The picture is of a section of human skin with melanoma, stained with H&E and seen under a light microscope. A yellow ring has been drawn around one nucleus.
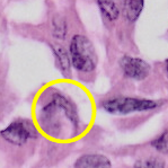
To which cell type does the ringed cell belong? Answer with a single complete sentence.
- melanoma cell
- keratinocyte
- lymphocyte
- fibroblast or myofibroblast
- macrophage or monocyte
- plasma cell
In the context of this tissue, the ringed cell is a melanoma cell.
